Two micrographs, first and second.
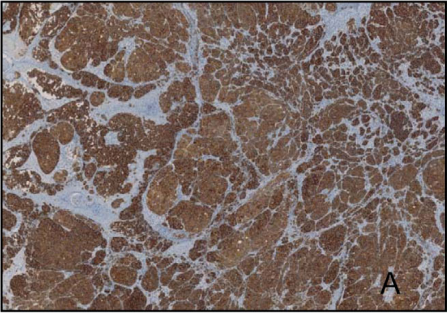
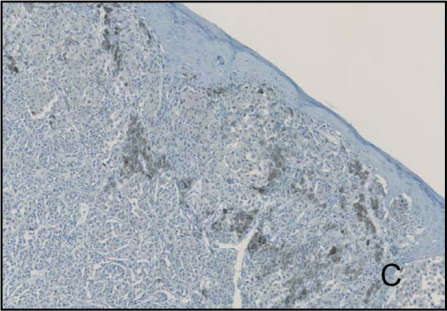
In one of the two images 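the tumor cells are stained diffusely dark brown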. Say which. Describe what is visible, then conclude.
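Second image: the tumor cell sheets are pale with blue nuclei, only a few gray-green clusters. First image: nearly all tumor nests are intensely dark brown, separated by blue stroma. The answer: the first image.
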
